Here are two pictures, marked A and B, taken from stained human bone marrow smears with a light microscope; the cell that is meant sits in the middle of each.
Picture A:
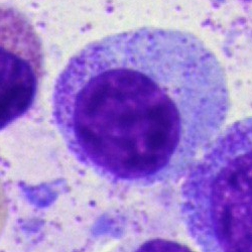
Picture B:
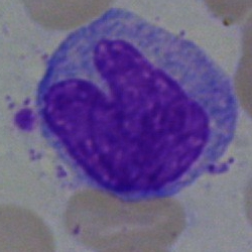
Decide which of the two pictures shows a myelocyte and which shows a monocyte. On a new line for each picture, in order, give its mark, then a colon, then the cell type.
A: myelocyte
B: monocyte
